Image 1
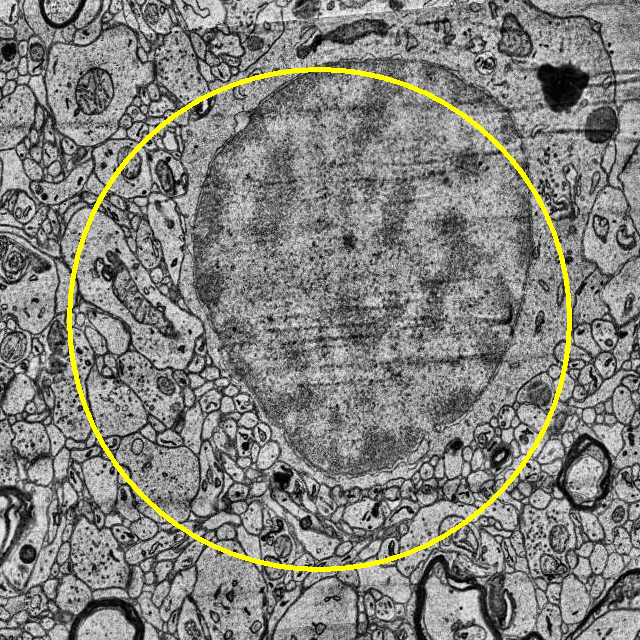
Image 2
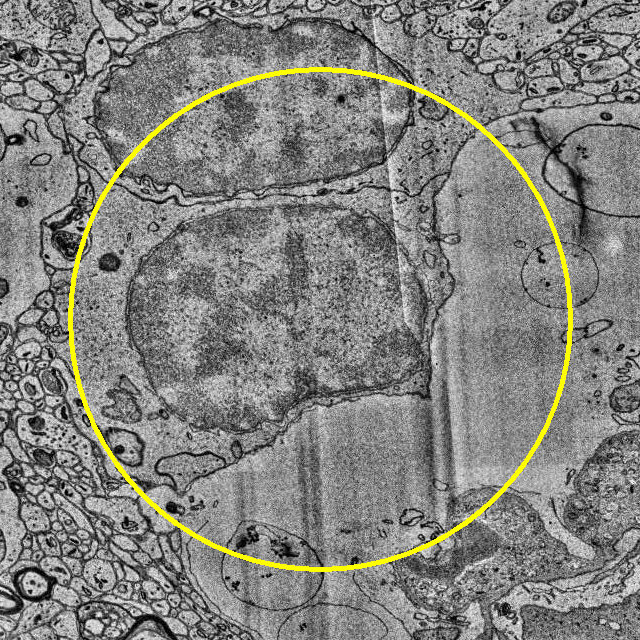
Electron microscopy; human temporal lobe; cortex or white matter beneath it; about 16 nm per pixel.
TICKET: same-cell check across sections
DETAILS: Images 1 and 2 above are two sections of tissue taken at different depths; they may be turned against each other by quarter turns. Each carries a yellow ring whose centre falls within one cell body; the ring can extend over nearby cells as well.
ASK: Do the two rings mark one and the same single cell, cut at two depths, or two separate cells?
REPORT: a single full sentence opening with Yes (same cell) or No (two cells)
Yes, the two yellow circles hold the same cell.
